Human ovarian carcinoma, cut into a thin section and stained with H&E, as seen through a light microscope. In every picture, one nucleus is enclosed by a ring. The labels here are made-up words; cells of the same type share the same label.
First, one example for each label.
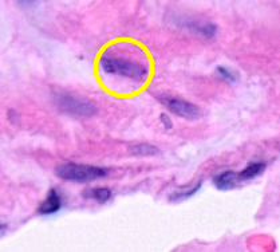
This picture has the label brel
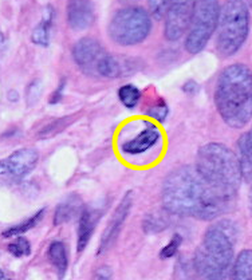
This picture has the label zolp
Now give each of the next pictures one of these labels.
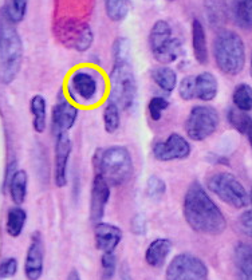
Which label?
zolp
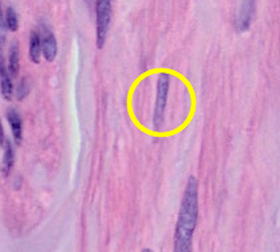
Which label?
brel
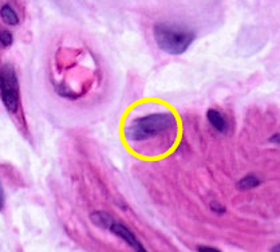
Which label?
brel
